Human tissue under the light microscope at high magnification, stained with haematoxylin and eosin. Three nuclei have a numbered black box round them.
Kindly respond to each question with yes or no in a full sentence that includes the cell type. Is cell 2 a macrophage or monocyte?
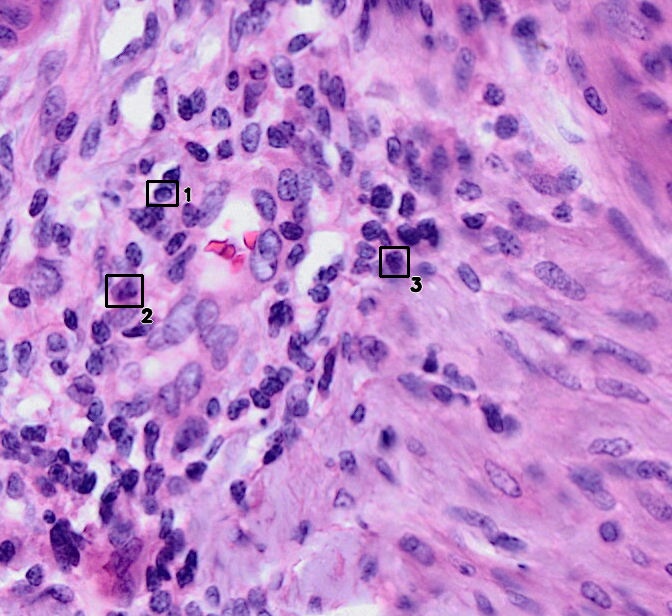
Yes, the cell tagged with number 2 is a macrophage or monocyte.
